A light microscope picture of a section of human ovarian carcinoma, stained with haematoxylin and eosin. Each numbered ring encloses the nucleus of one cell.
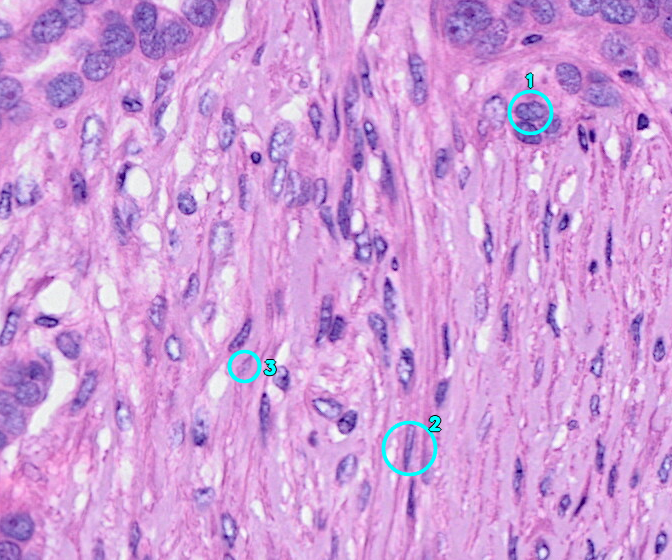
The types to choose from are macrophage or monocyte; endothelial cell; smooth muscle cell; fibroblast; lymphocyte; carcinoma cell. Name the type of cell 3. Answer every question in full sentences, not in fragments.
Cell 3 should be recorded as a fibroblast.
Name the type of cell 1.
Denoted by the label 1 in the section is a carcinoma cell.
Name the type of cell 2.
At number 2, the marked cell is a fibroblast.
